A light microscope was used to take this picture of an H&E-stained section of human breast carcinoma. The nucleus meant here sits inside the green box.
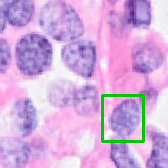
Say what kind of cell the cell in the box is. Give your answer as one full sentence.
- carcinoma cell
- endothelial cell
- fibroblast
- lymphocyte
In the stained section, the cell in the box is a carcinoma cell.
